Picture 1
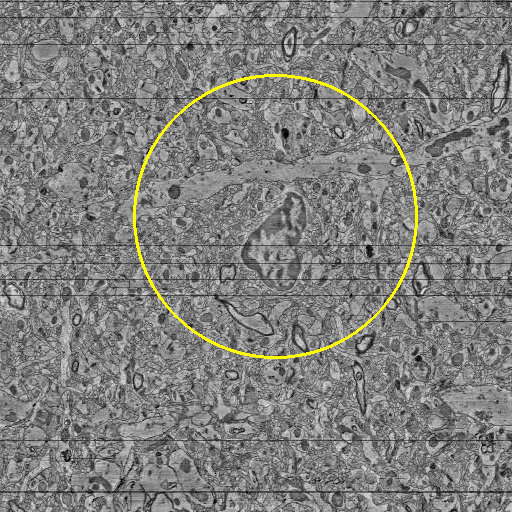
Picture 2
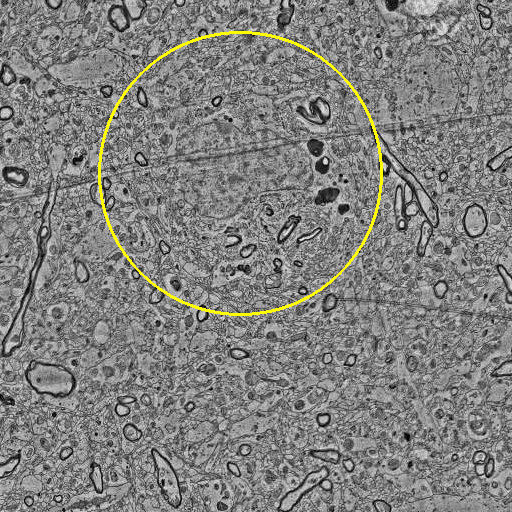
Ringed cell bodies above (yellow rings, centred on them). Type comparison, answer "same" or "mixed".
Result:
same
